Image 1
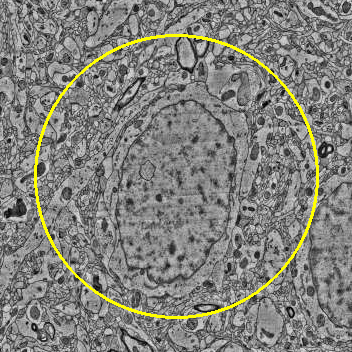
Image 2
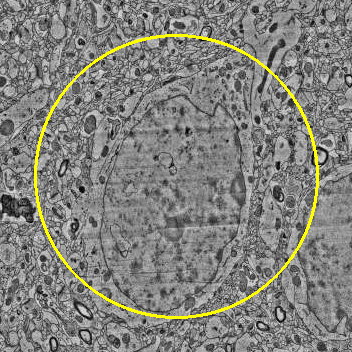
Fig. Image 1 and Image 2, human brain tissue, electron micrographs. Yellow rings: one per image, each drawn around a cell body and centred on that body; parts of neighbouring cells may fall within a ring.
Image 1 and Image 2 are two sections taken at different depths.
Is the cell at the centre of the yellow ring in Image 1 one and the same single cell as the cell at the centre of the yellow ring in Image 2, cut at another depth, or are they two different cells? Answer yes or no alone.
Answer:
yes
